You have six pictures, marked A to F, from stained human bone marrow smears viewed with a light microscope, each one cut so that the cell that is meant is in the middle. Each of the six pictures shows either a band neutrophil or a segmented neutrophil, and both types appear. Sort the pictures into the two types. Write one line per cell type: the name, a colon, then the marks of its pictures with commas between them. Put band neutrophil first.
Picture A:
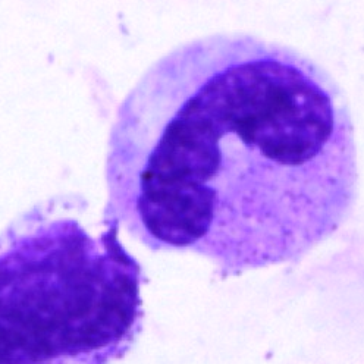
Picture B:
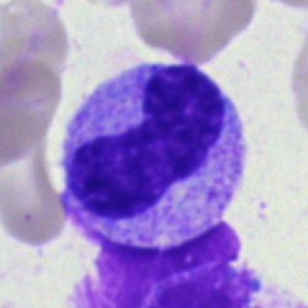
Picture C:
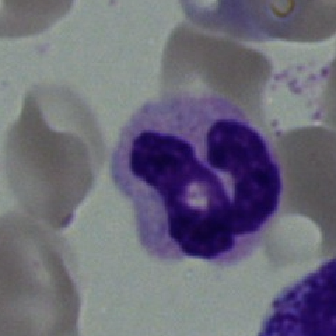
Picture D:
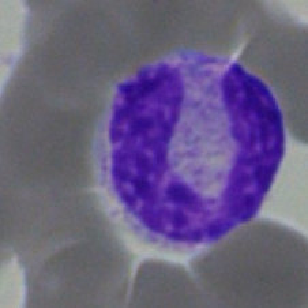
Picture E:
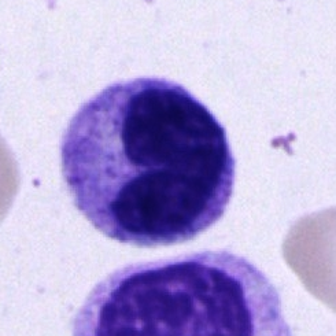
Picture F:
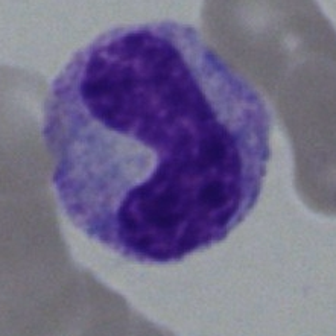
band neutrophil: B, D, E, F
segmented neutrophil: A, C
